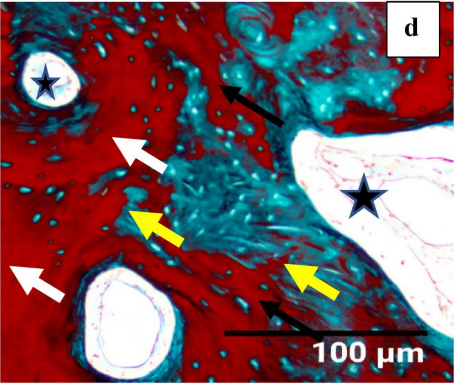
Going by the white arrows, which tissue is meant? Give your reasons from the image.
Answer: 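The arrows point to uniformly red stained matrix.
Hence: mature bone matrix.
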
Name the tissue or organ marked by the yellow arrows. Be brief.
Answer: Immature bone matrix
